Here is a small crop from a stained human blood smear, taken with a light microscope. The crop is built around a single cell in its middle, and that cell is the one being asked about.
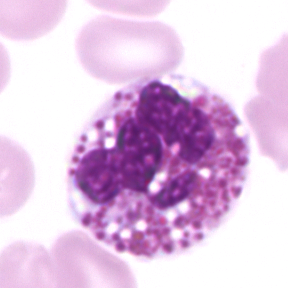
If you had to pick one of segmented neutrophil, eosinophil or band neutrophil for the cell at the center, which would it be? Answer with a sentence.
As for the cell in the middle, it is an eosinophil.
